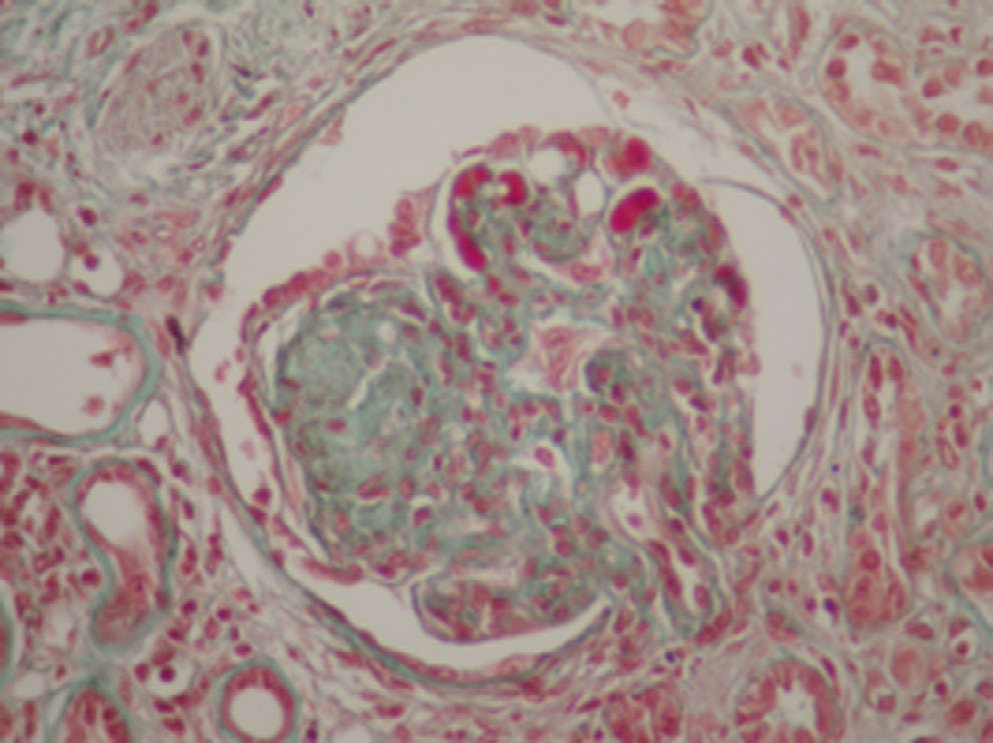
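A few capillary loops at the upper edge stay open and hold bright red erythrocytes. A row of plump cells lines the outer surface of the tuft, facing a wide, empty Bowman's space, and the glomerulus is surrounded by tubules whose basement membranes also stain green.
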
